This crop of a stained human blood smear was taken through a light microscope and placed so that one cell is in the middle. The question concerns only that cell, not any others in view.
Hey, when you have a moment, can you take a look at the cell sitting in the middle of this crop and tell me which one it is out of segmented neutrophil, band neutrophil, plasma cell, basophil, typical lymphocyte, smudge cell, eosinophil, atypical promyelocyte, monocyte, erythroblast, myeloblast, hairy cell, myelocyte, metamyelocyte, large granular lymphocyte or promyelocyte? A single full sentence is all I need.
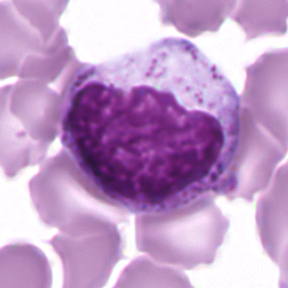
The cell positioned in the middle of the field is a myelocyte.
